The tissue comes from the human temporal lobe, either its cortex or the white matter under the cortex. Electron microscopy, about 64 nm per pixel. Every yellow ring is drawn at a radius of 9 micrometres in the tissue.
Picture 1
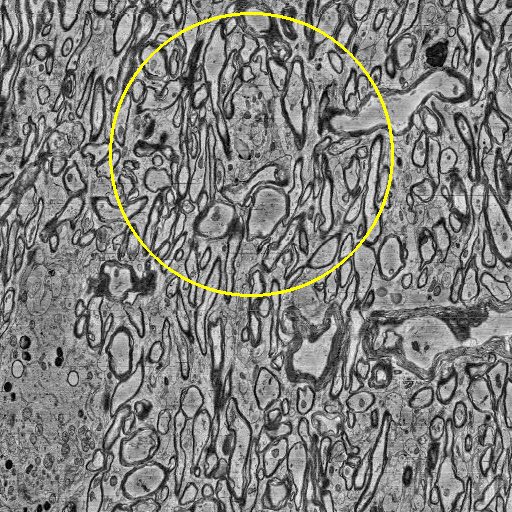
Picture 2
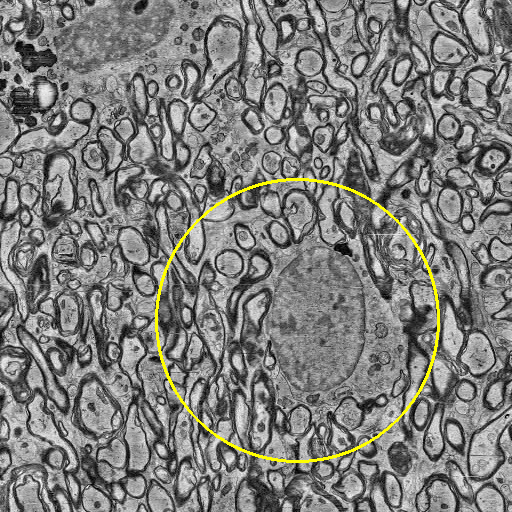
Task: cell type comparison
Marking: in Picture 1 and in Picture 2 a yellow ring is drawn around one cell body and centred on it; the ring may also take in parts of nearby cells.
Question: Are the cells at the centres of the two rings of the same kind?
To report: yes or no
no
